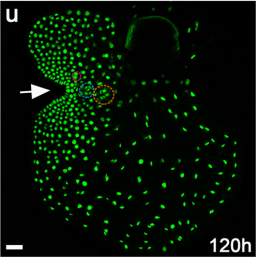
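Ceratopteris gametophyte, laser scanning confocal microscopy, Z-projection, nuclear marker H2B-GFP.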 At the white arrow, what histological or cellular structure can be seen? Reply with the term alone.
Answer: multicellular meristem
